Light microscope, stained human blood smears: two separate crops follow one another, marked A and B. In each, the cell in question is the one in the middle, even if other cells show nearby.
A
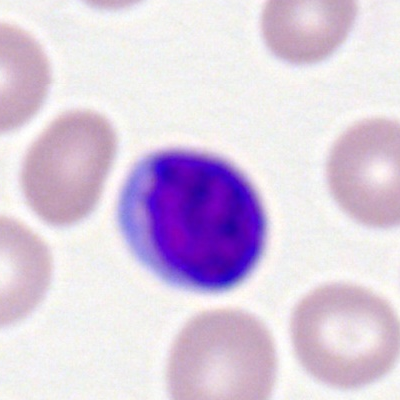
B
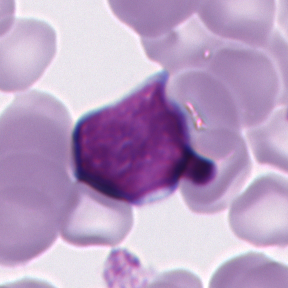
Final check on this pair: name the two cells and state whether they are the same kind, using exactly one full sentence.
Yes, both crops show lymphocytes, each crop centred on one of them.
